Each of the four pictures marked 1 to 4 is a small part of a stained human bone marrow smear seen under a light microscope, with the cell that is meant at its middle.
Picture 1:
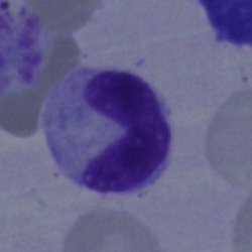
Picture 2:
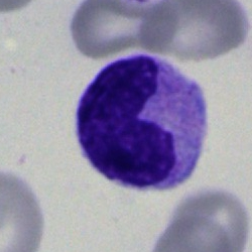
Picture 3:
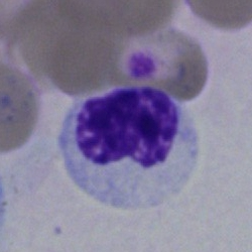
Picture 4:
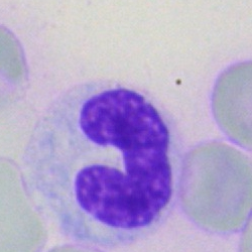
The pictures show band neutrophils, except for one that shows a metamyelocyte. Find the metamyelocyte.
2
